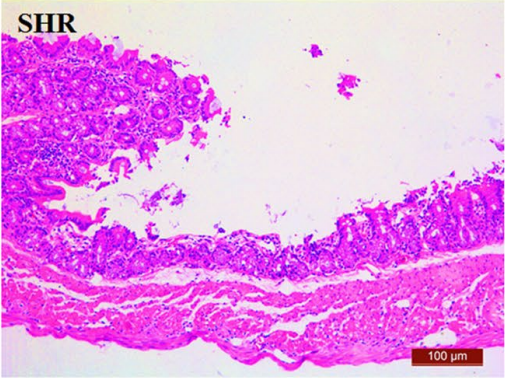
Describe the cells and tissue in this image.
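This is a section through the colon wall, stained pink and purple. The mucosa is thin and irregular: crypts are broken and disorganised, fragments of tissue lie detached in the lumen, and pale goblet cells are few. The mucosa appears crowded with purple nuclei, and below it a loose submucosa and a pink muscle layer form the outer wall.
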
